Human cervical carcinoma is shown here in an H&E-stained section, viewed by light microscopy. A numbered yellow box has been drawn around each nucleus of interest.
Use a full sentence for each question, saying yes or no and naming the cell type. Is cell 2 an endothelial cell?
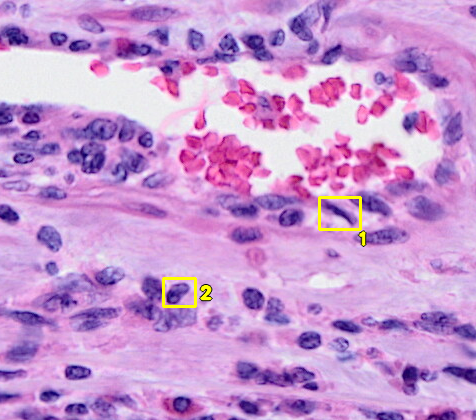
No, rather than an endothelial cell, cell number 2 is a lymphocyte.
